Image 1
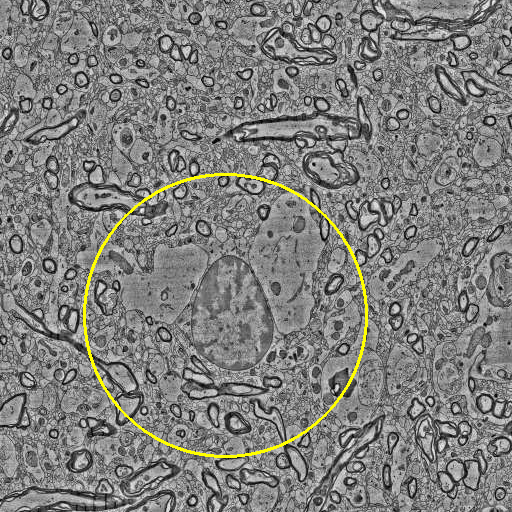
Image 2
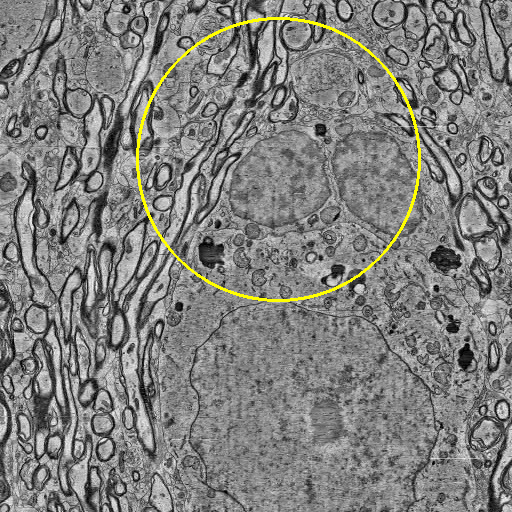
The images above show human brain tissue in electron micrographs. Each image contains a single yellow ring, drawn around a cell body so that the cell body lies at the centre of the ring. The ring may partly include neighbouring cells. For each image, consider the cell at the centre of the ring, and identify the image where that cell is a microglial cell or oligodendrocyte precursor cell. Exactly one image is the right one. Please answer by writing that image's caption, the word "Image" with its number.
Image 1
